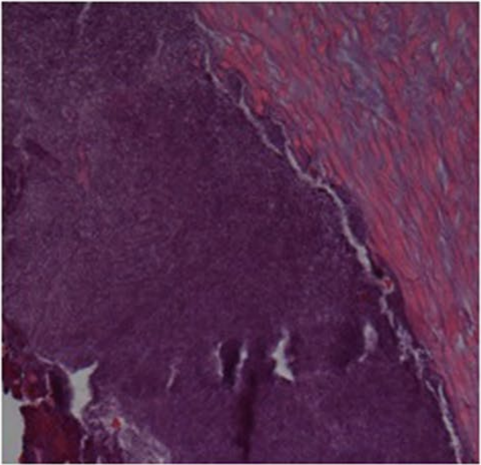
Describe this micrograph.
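A lesion in a hematoxylin and eosin section appears as a large, dense, deeply blue-purple basophilic mass occupying most of the field. A thin cleft separates it from pink-red fibrous tissue with wavy bundles at the upper right, and small clefts and gaps interrupt the dark mass.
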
